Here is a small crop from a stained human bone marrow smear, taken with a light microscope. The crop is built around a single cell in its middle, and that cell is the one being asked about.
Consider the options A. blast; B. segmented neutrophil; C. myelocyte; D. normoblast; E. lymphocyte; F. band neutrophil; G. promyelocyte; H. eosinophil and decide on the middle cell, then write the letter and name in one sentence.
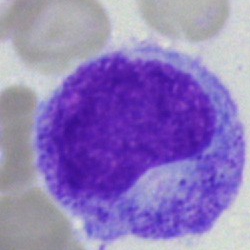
The cell in the middle is a promyelocyte, and that makes option G correct.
